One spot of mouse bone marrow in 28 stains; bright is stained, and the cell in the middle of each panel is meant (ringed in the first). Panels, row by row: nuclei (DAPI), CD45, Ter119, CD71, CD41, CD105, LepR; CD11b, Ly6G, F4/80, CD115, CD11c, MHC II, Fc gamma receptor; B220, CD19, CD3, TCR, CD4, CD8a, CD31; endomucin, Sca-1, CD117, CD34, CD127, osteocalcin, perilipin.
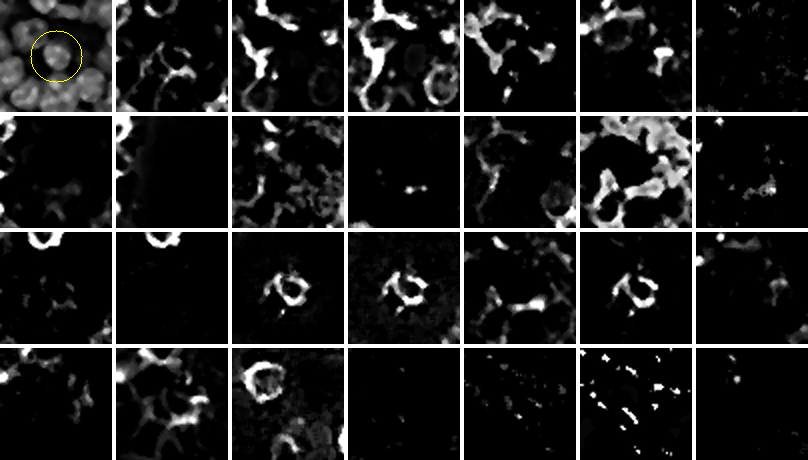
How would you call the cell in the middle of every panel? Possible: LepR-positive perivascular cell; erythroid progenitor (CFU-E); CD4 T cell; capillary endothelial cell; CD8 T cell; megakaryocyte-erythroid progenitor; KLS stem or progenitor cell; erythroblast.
I would call it a CD8 T cell.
